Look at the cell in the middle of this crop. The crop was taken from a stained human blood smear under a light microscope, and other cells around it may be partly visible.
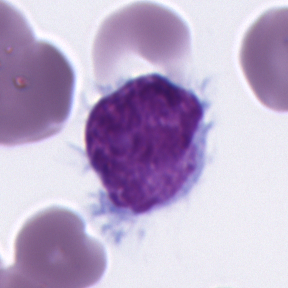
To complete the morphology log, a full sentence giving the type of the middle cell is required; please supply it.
The cell featured at the centre of this crop is a hairy cell.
